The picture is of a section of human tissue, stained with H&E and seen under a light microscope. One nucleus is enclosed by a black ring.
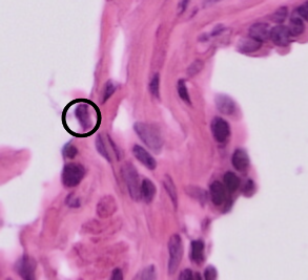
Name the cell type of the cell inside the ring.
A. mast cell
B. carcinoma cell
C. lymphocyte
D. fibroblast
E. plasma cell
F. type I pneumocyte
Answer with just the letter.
F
